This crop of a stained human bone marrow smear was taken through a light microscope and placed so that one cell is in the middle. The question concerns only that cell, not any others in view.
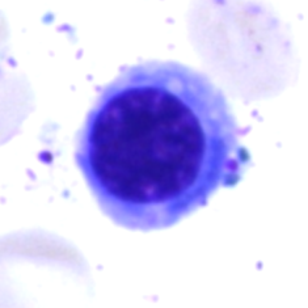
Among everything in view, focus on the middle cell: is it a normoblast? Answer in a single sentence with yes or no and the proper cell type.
Yes, the centred cell is categorised as a normoblast.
